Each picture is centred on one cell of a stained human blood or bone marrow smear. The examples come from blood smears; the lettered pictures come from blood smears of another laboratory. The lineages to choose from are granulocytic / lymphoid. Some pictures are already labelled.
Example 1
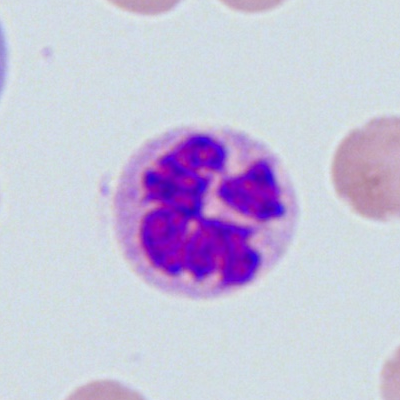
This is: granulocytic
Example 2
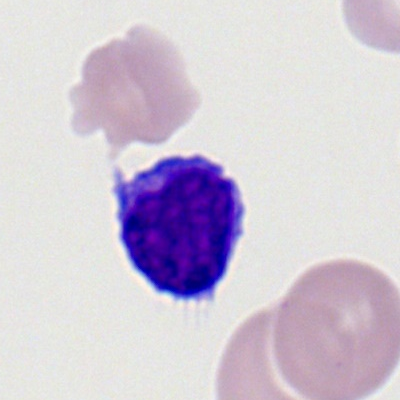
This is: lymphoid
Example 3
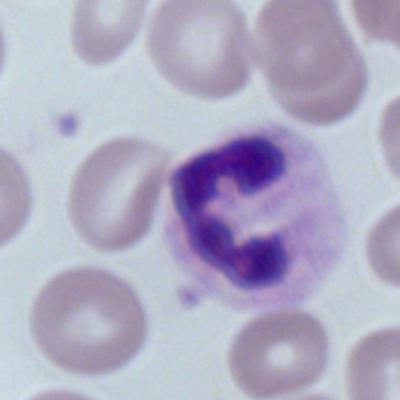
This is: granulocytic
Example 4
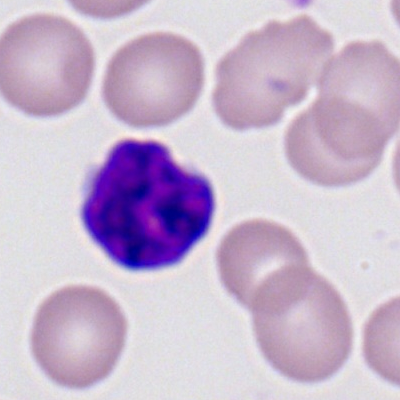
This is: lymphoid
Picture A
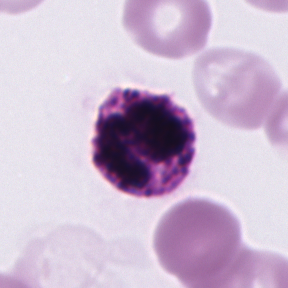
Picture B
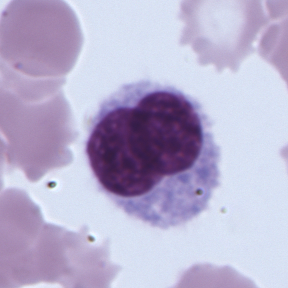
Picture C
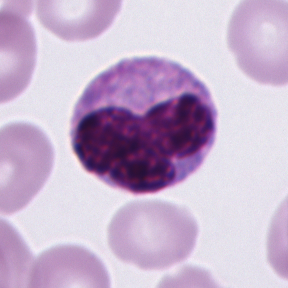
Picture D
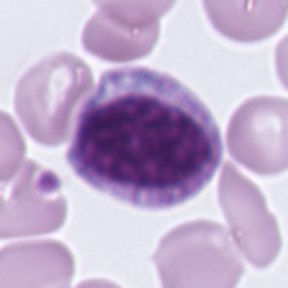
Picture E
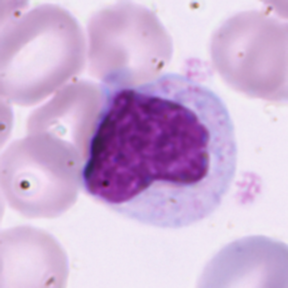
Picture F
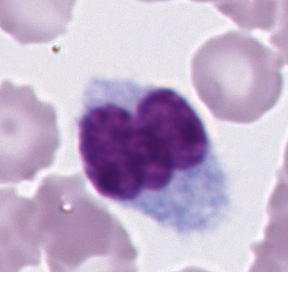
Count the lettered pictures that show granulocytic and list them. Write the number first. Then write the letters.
4, namely A, C, D, E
